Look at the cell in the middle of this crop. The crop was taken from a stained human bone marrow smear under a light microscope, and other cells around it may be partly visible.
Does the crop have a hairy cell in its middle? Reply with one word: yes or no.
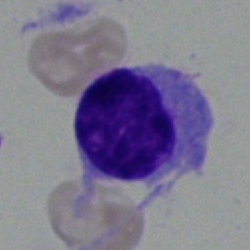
yes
